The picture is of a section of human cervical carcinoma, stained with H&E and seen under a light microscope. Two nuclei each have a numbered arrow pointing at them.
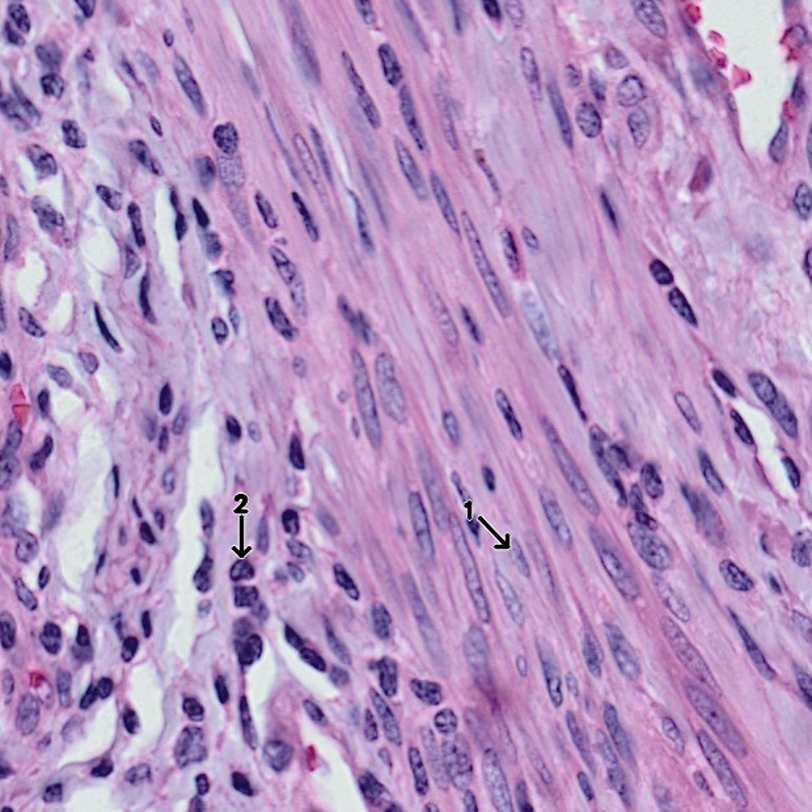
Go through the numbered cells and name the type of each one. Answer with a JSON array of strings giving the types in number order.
["smooth muscle cell", "lymphocyte"]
